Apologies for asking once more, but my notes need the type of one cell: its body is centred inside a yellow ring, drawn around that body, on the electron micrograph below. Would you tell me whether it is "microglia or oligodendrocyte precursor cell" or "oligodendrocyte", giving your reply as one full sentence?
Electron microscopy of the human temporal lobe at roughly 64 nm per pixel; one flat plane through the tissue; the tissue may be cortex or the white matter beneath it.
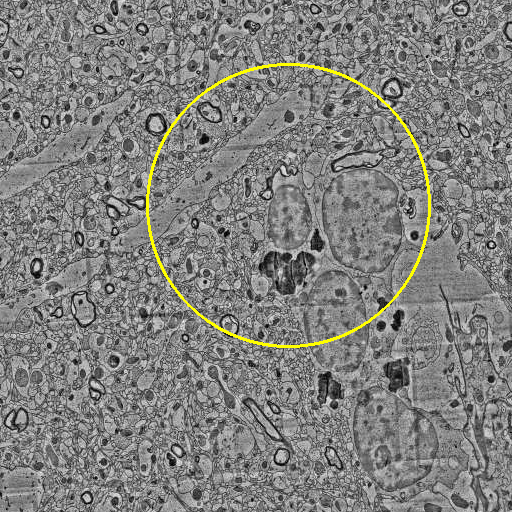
The cell that the yellow ring is centred on is an oligodendrocyte in this micrograph.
